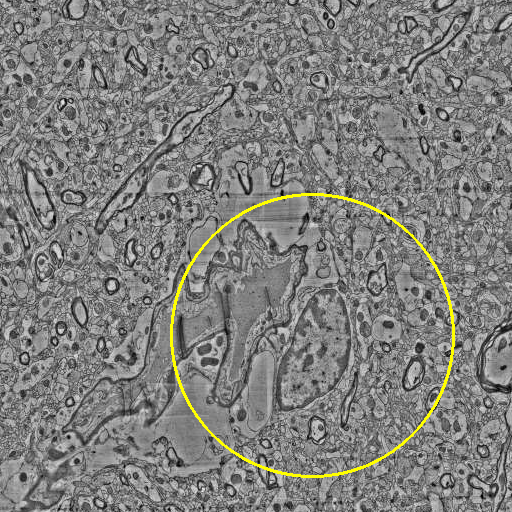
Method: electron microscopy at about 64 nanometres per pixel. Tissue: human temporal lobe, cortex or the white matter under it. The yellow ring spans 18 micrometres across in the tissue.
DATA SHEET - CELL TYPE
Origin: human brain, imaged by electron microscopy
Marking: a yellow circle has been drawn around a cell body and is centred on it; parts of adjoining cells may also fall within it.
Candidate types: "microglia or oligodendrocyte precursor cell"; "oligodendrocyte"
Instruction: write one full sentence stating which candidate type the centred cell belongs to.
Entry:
The cell body at the centre of the yellow ring in this micrograph belongs to a microglial cell or oligodendrocyte precursor cell.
